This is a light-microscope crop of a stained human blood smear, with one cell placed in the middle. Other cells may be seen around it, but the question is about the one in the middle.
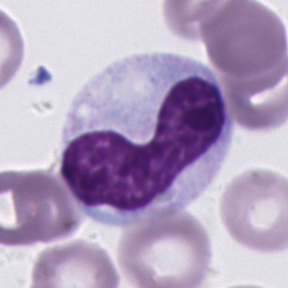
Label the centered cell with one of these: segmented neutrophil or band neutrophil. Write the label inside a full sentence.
Seen at the centre of the crop is a band neutrophil.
